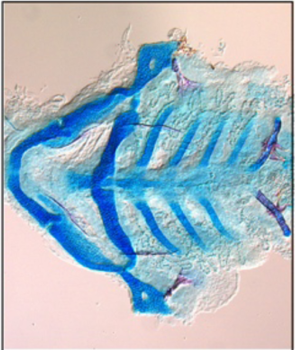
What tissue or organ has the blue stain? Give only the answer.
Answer: cartilage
